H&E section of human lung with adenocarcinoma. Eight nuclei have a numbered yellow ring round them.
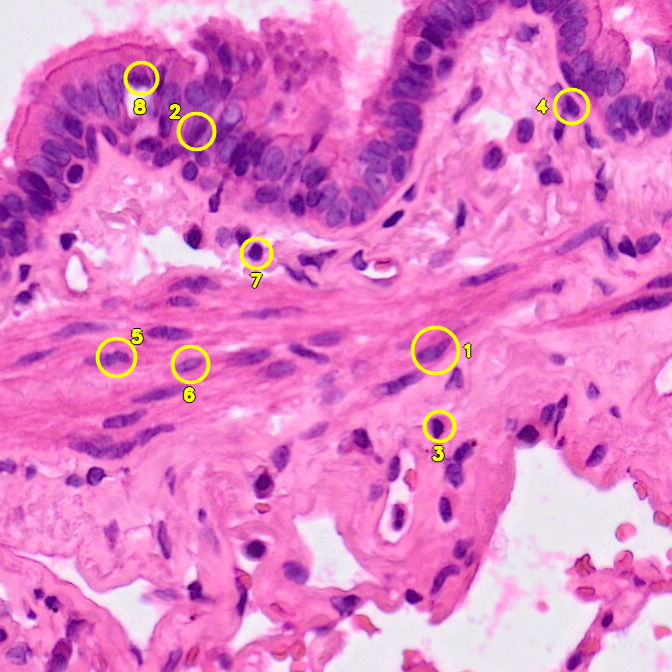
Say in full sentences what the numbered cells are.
Cell 1 is a smooth muscle cell or pericyte, cell 2 is a ciliated epithelial cell, cell 3 is a mast cell, cell 4 is a lymphocyte, cell 5 is a smooth muscle cell or pericyte, cell 6 is a smooth muscle cell or pericyte, cell 7 is a lymphocyte and cell 8 is a ciliated epithelial cell.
